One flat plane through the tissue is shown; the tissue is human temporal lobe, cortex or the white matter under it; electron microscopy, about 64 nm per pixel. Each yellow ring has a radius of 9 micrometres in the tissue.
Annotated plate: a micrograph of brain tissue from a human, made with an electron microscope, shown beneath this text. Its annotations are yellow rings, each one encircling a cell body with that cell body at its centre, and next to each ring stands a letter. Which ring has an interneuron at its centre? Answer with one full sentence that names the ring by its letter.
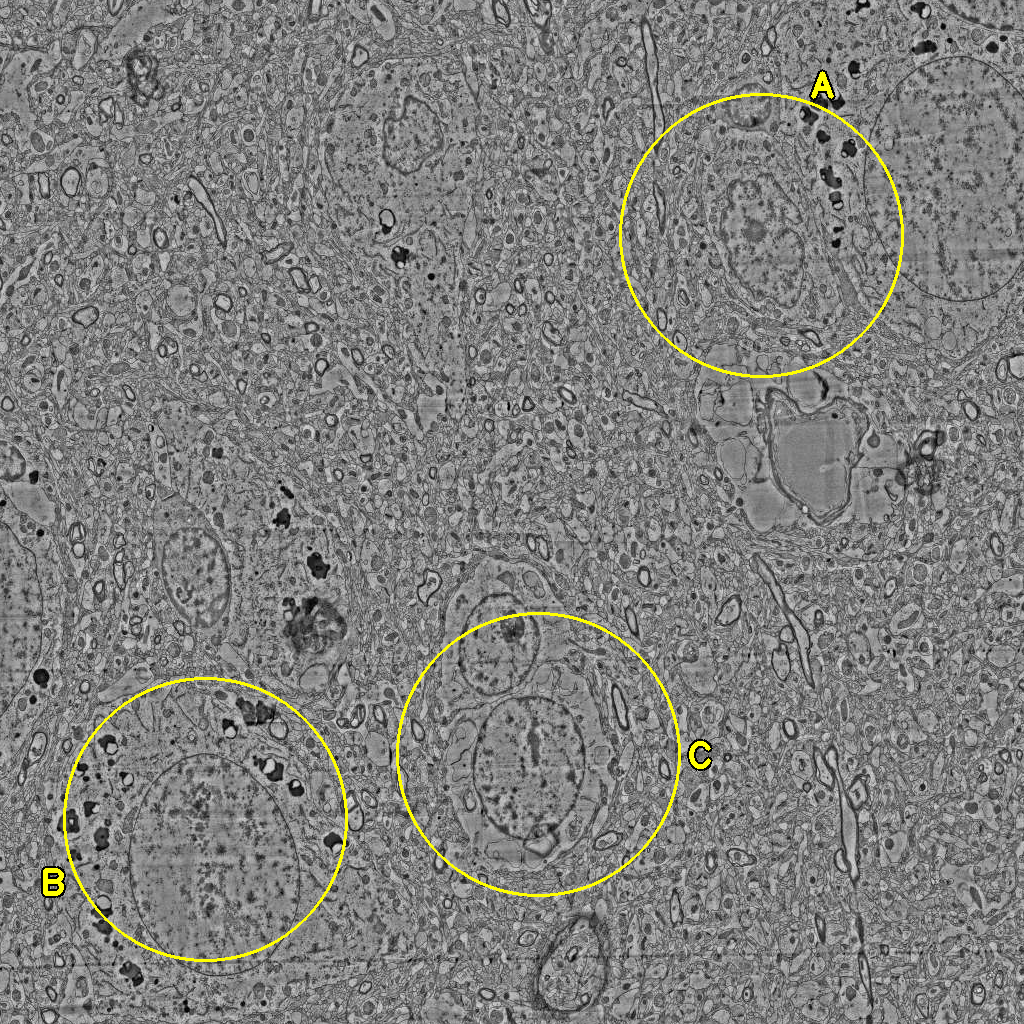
In the plate, ring A is the one centred on a cell of that kind.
